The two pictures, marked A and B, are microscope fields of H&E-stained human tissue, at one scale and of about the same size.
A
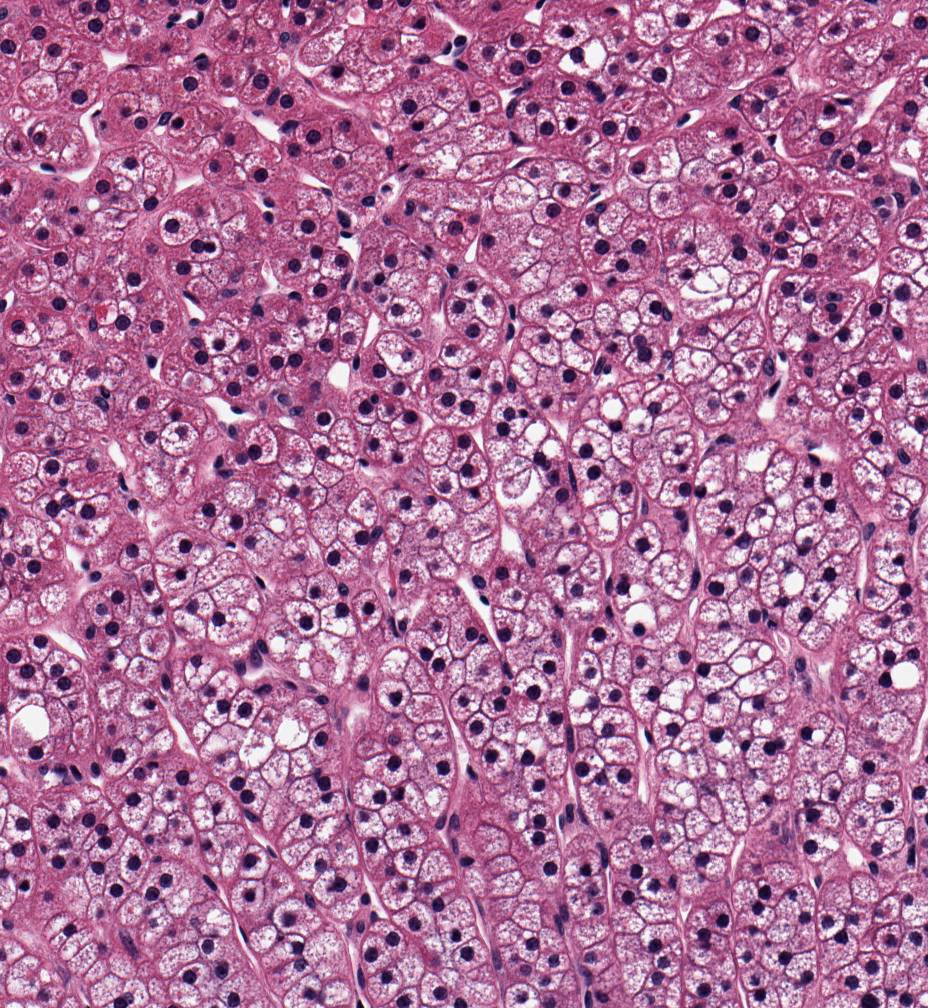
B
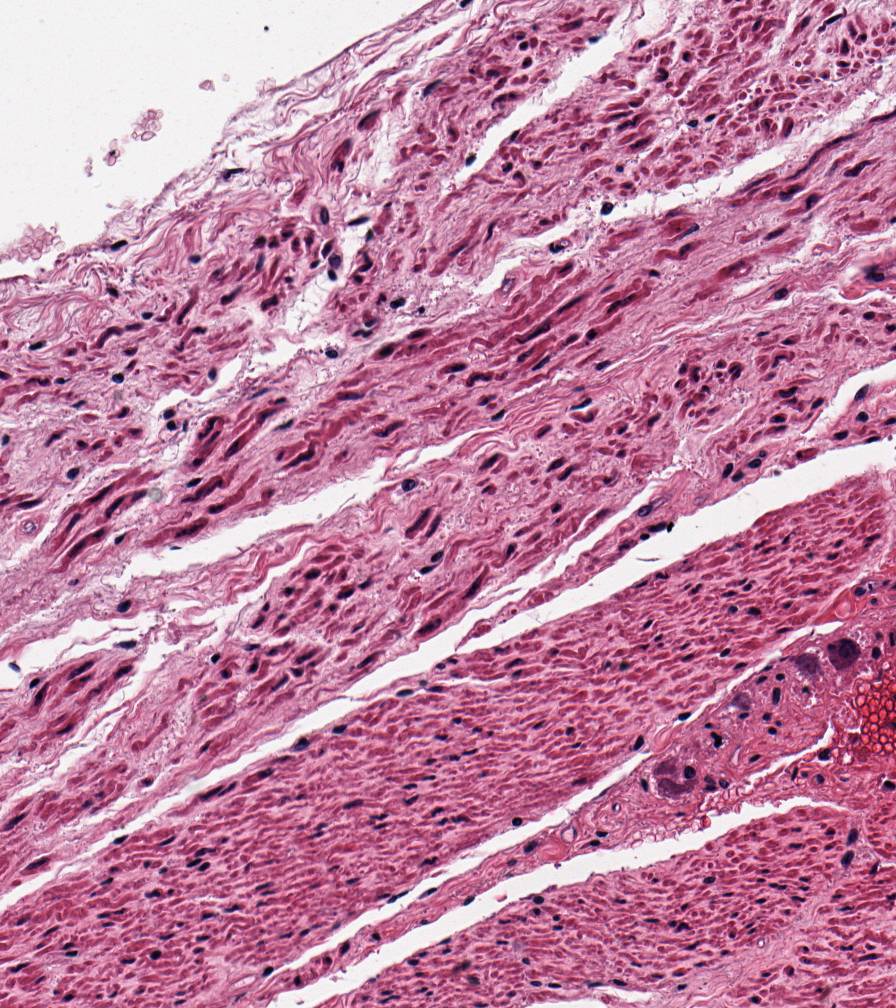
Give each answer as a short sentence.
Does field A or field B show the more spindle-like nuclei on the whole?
It is field B whose nuclei are the more elongated.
